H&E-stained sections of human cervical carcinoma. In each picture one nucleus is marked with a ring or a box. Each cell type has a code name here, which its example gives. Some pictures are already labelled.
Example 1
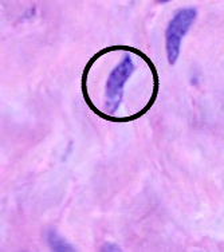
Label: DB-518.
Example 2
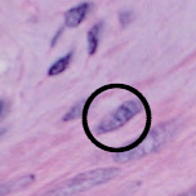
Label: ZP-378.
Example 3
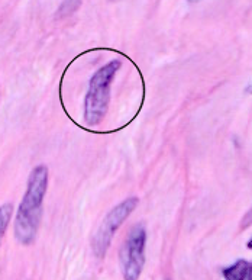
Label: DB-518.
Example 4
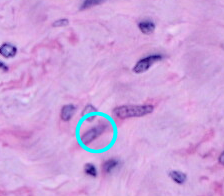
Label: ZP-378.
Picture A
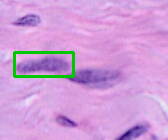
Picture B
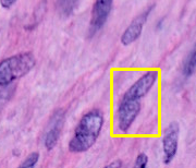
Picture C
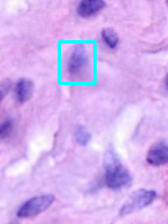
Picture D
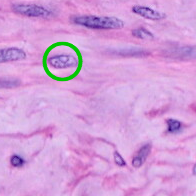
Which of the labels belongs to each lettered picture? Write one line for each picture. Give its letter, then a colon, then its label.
A: DB-518.
B: ZP-378.
C: DB-518.
D: ZP-378.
